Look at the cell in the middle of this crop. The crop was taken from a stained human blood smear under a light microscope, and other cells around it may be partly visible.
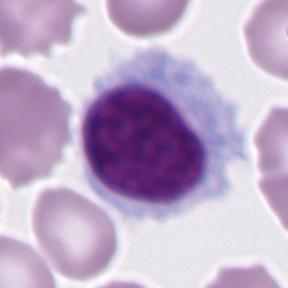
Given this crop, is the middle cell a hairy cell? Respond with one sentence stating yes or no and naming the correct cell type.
Yes, the cell at the middle of the frame is a hairy cell.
